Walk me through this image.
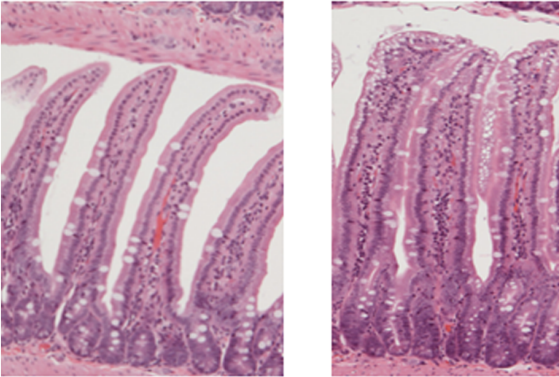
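Two pink-purple stained fields of intestinal mucosa show tall finger-like villi covered by a single layer of columnar epithelium. Clear, rounded goblet cells are scattered along the epithelium. Densely nucleated crypts lie at the villus bases, and a band of muscle lies at the top edge.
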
